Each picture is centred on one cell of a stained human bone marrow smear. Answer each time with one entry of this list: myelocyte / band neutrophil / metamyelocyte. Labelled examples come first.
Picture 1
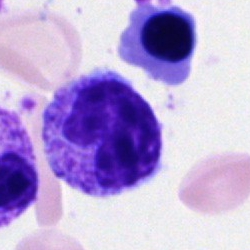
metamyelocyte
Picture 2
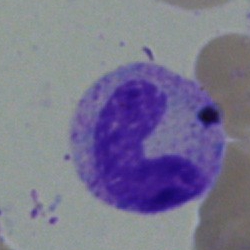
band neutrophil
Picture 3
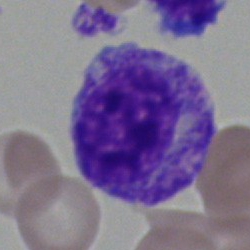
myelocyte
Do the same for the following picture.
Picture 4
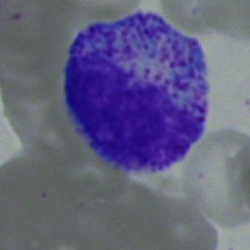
myelocyte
